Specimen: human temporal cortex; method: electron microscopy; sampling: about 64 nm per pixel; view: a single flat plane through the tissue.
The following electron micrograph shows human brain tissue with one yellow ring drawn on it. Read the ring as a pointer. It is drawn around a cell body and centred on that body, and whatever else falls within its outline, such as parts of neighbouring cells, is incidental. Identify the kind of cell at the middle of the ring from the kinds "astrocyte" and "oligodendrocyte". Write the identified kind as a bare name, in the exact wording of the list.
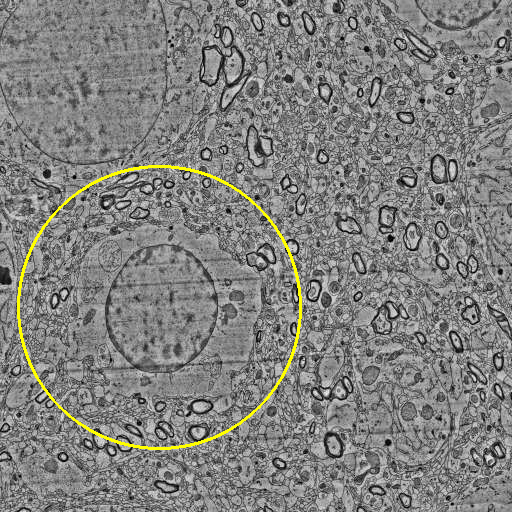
astrocyte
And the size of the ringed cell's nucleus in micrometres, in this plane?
About 8 micrometers across, in this plane.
